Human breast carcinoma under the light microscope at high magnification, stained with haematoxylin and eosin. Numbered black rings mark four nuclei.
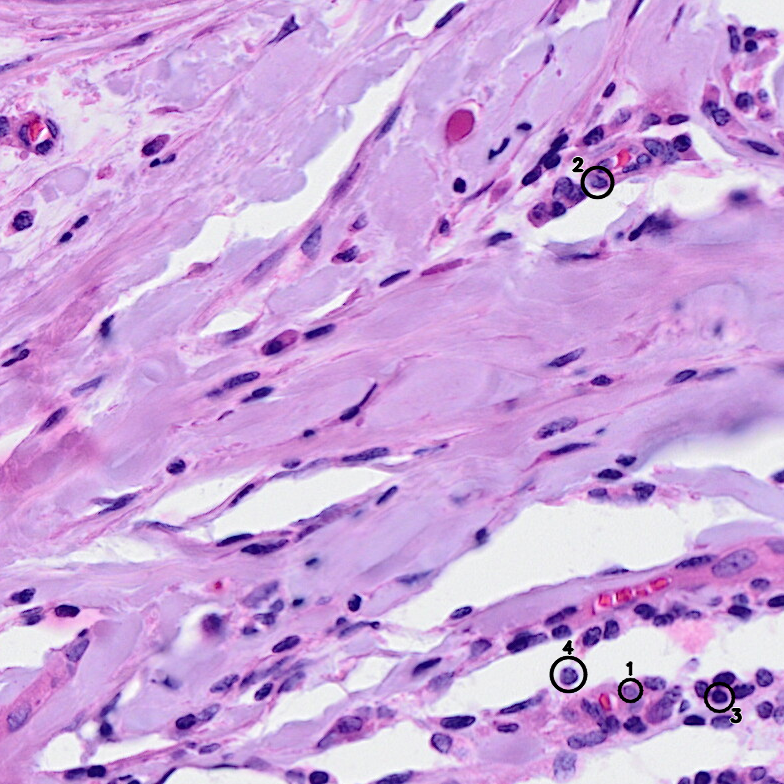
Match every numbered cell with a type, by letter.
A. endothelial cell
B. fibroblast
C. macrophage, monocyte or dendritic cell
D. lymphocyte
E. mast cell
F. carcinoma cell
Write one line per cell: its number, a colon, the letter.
1: A
2: A
3: D
4: D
